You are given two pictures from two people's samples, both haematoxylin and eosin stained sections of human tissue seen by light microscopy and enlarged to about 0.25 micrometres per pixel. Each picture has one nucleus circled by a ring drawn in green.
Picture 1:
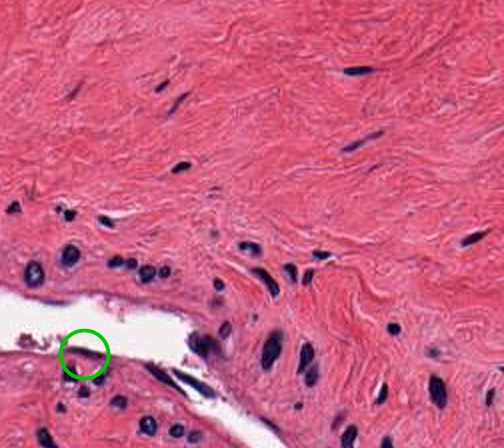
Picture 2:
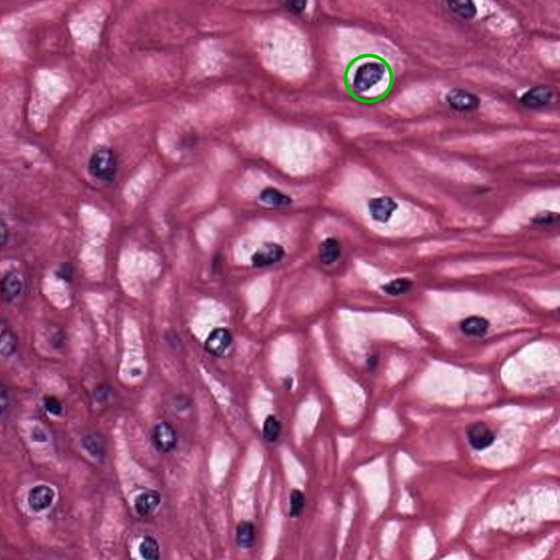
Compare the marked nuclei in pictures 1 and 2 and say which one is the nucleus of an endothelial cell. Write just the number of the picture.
1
